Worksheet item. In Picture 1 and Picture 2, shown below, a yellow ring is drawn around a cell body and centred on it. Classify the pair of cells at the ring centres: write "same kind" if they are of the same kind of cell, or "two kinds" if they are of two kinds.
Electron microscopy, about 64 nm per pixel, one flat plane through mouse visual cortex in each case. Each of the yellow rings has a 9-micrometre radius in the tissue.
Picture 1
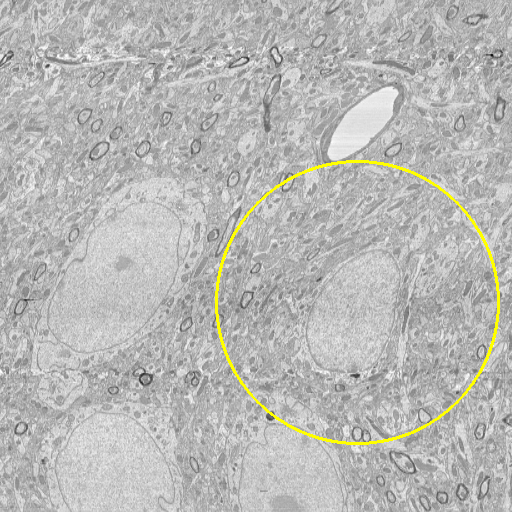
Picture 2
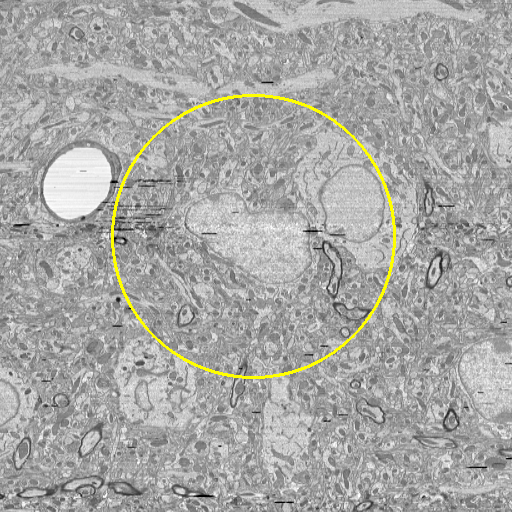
same kind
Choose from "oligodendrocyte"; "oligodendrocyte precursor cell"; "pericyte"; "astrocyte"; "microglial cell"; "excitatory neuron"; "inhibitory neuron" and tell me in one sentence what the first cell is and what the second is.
Each of the two cells is an astrocyte.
